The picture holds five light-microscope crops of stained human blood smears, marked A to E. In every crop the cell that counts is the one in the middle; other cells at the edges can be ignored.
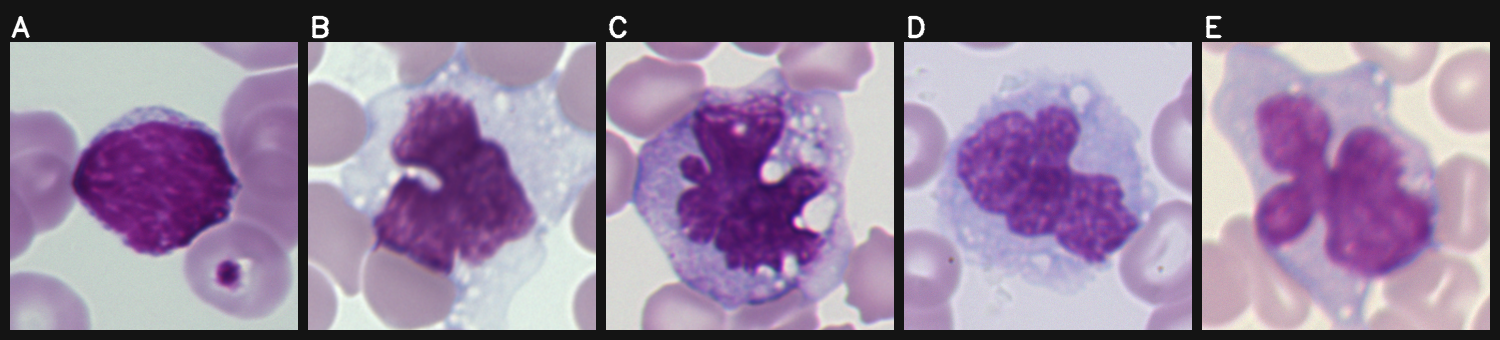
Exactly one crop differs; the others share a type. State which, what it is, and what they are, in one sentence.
The rest of the crops show monocytes; crop A is the one showing a large granular lymphocyte.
